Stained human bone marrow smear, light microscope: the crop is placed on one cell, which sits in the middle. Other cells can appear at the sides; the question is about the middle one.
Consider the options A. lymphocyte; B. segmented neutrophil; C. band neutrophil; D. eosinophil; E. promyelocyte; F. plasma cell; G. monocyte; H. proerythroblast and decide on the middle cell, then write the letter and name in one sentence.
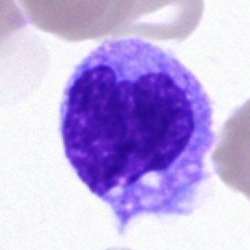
Identified correctly by option G, the cell in the middle is a monocyte.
